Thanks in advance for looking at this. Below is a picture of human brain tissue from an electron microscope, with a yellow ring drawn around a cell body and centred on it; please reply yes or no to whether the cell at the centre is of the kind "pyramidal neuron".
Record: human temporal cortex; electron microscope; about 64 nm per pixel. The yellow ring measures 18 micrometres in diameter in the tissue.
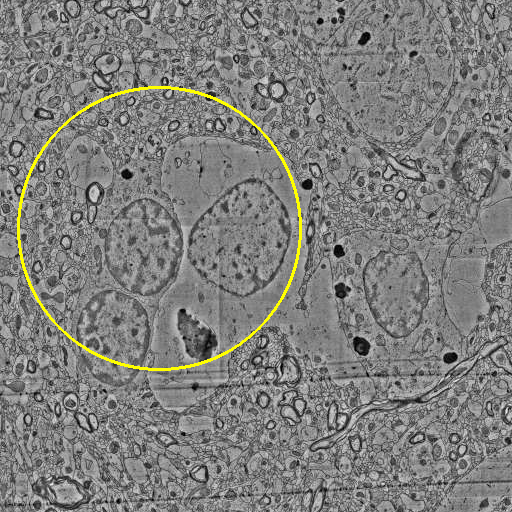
no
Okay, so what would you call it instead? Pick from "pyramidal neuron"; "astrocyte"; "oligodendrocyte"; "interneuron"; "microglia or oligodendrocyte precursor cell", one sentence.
The correct answer is that the cell is an oligodendrocyte.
